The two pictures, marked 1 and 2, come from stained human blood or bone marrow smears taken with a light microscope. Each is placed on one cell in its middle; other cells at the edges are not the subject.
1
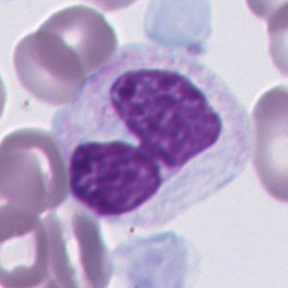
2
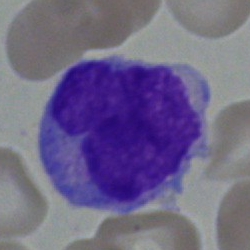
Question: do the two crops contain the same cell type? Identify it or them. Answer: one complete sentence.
No, it is a band neutrophil that crop 1 shows, and a monocyte that crop 2 shows.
